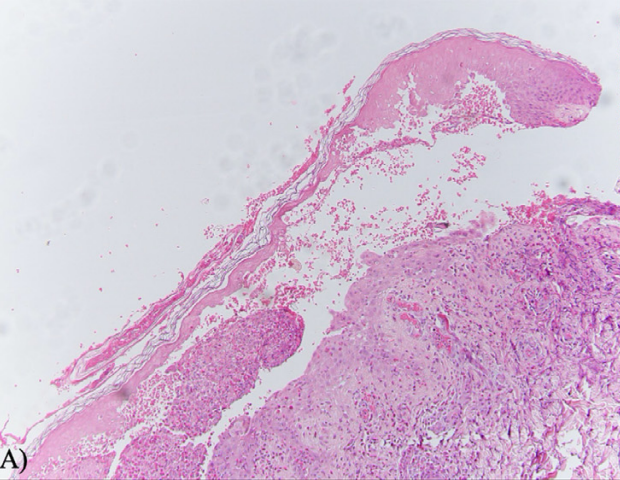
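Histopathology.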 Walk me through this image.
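At low power the skin shows a cleft within the epidermis, lifting a thin pink sheet of upper epidermis with its cornified layer away from the tissue below. The space is filled with loose cells and red blood cells. Beneath it the epithelium is thickened and irregular, and the underlying tissue is crowded with purple-staining inflammatory cells.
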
